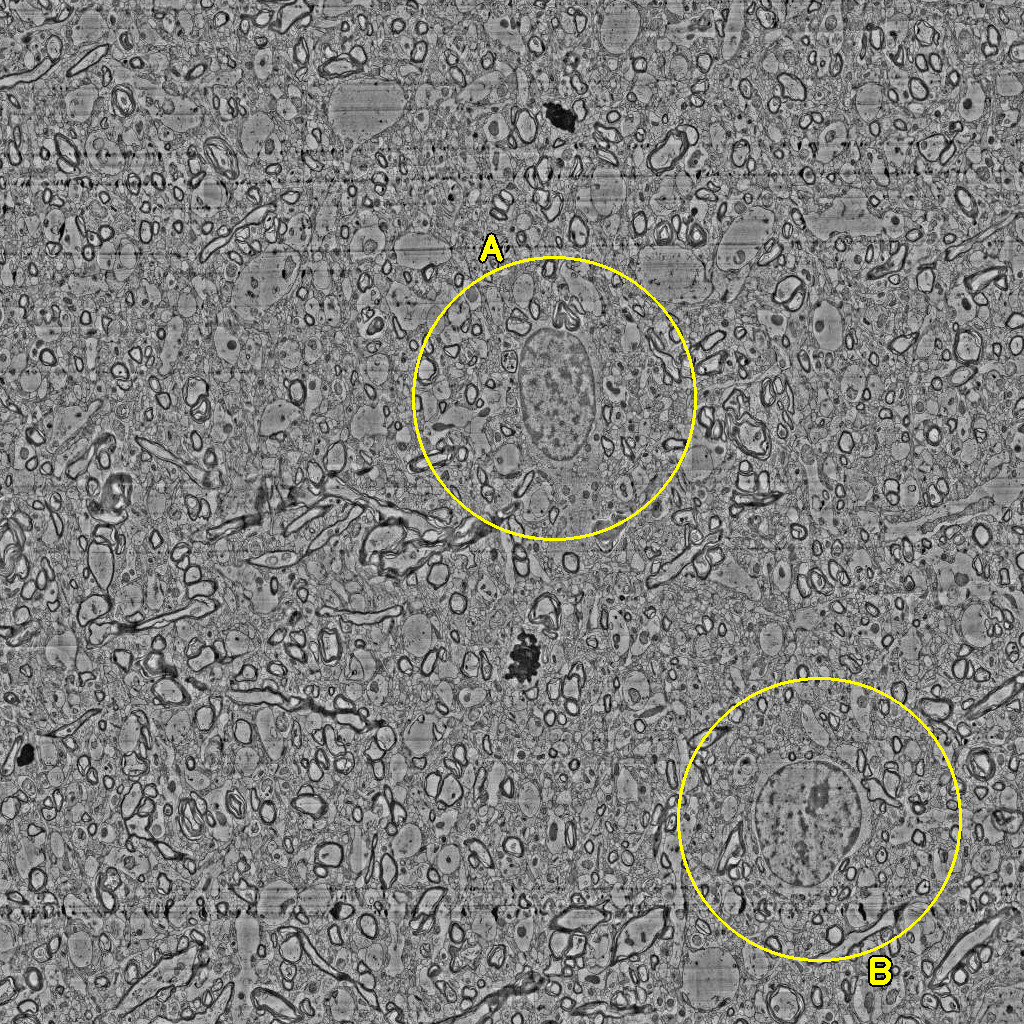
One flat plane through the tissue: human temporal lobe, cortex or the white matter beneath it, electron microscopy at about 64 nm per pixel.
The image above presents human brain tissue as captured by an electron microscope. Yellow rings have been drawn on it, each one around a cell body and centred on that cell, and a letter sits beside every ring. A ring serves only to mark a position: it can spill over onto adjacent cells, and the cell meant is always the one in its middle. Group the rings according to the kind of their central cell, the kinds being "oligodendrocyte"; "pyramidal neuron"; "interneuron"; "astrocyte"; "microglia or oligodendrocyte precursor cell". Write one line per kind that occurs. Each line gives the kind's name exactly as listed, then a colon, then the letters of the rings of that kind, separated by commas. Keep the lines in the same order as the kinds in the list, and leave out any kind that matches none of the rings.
oligodendrocyte: A
microglia or oligodendrocyte precursor cell: B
